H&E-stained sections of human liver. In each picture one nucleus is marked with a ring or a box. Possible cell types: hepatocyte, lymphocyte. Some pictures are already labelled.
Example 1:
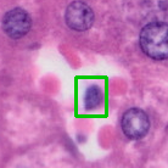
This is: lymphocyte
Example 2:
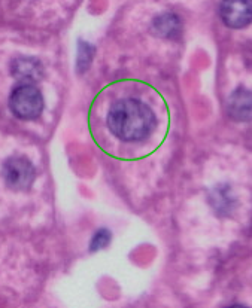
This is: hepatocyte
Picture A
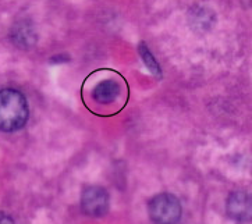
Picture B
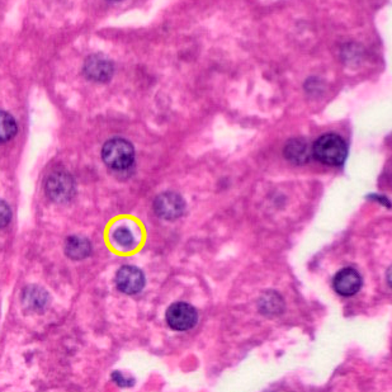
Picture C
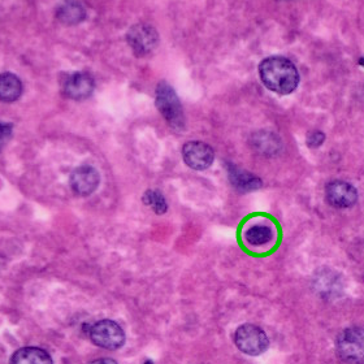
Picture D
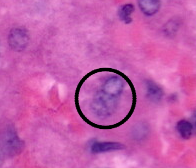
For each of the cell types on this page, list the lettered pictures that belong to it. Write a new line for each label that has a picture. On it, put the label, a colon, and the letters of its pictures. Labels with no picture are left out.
hepatocyte: D
lymphocyte: A, B, C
